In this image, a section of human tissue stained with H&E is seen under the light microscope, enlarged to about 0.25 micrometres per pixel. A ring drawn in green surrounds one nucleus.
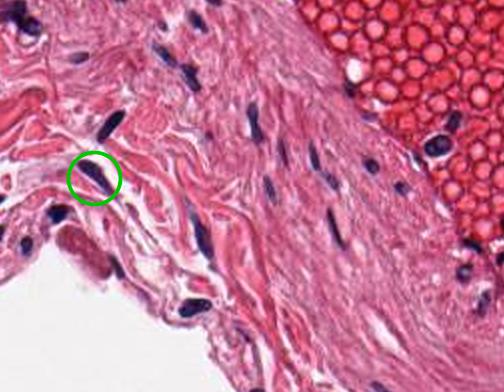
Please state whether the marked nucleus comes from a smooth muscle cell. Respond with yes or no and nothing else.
no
